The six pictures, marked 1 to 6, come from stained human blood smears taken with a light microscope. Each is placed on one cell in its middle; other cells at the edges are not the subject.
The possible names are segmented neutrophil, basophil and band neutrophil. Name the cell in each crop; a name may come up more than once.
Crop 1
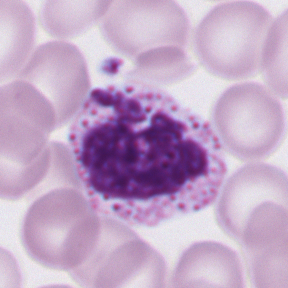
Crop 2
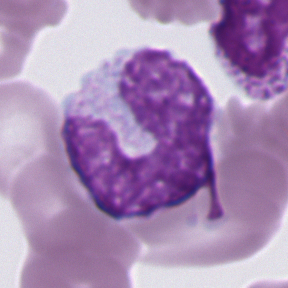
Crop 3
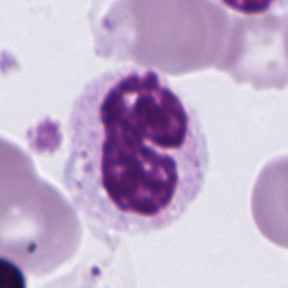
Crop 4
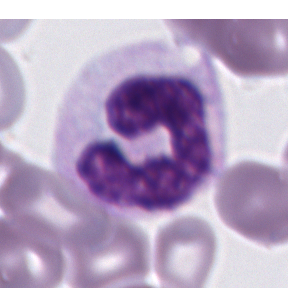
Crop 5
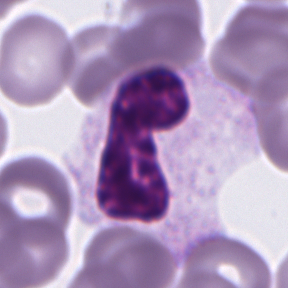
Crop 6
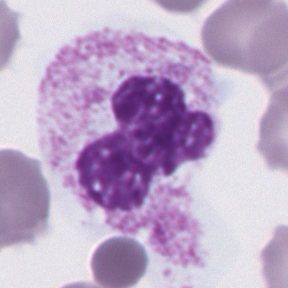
1: basophil
2: band neutrophil
3: band neutrophil
4: band neutrophil
5: band neutrophil
6: segmented neutrophil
